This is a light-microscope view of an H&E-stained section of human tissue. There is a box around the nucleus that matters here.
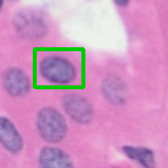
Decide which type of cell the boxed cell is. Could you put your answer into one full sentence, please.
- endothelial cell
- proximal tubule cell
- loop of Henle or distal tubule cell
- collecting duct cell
In the tissue under study, the boxed cell is a loop of Henle or distal tubule cell.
